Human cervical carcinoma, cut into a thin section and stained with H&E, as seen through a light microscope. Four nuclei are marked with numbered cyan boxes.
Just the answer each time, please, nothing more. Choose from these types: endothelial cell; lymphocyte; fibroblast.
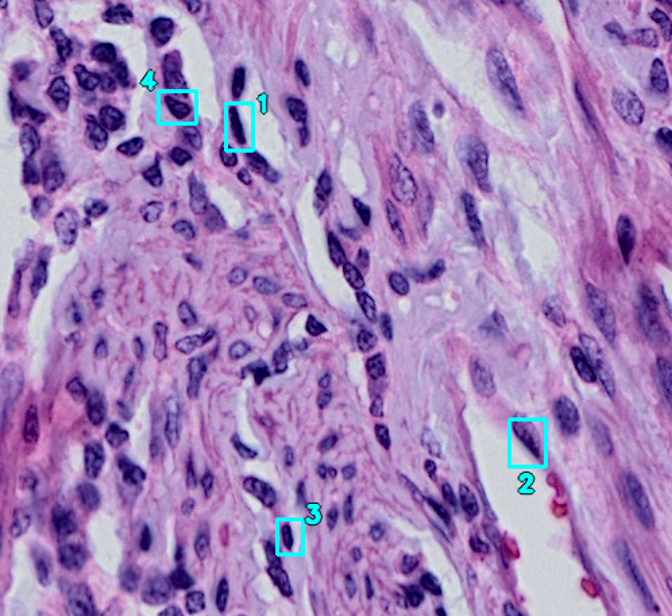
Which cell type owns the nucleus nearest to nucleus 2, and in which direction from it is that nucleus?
a lymphocyte, above and to the right of nucleus 2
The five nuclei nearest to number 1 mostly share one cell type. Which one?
lymphocyte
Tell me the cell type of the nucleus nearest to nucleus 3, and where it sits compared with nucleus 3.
a lymphocyte, below and to the left of nucleus 3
